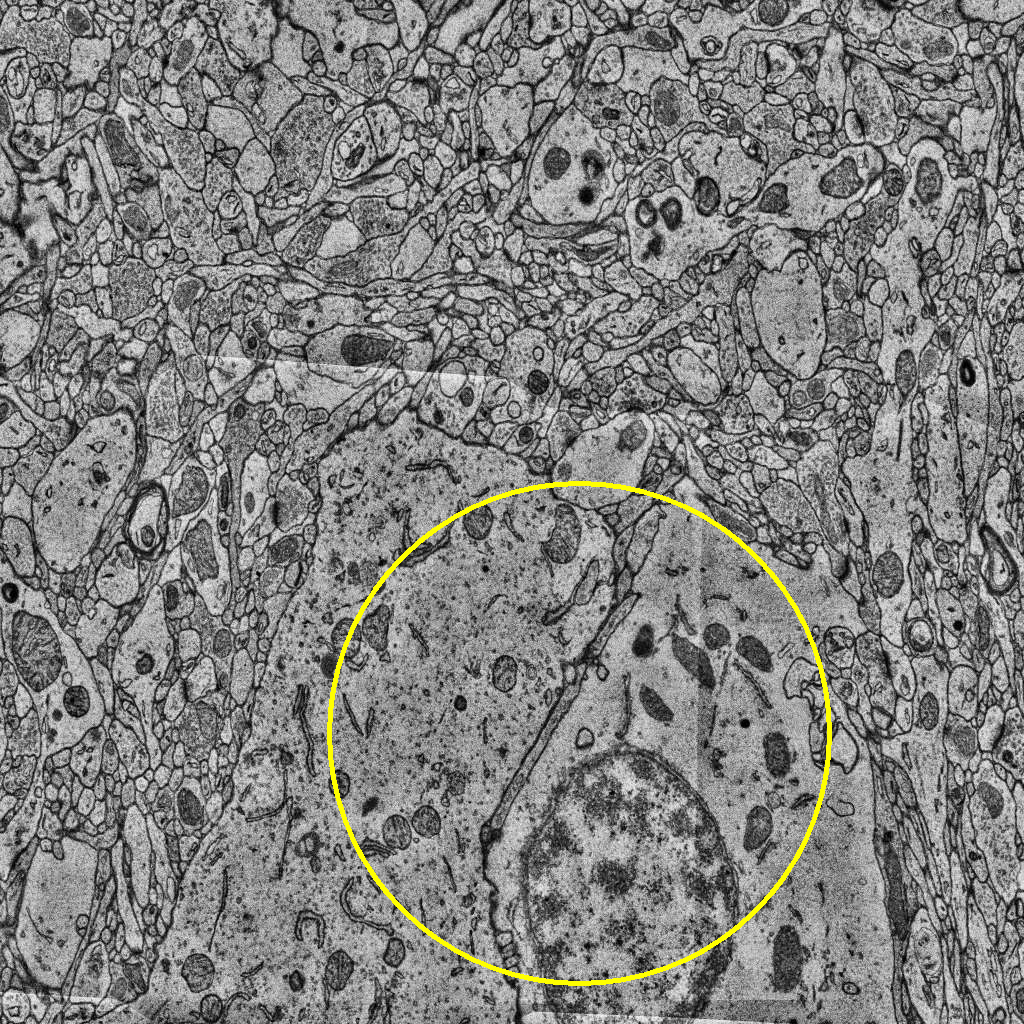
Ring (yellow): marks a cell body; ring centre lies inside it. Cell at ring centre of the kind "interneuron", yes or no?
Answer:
no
